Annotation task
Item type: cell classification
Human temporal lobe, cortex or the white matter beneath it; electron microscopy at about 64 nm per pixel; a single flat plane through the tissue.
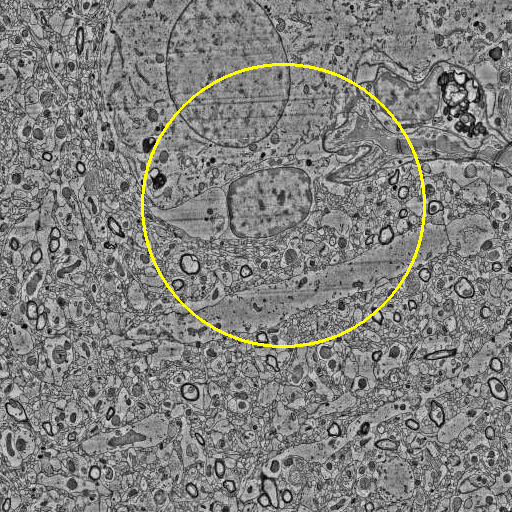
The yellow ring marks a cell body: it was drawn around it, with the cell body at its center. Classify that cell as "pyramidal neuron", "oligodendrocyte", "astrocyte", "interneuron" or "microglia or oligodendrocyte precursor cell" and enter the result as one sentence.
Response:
The ring's center falls on a microglial cell or oligodendrocyte precursor cell.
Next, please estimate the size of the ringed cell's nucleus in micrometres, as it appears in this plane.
In this plane, roughly 6 by 5 micrometres.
